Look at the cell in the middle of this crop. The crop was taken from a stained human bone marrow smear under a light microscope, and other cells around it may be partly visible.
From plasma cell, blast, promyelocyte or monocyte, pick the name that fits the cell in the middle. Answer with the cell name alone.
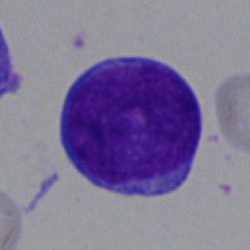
blast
